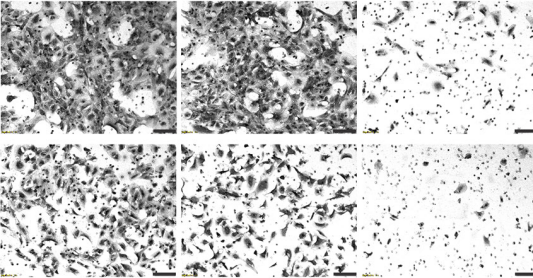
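The many small, evenly scattered dark dots in the background are the pores of the membrane. Cell density differs widely between the fields, from a near-continuous sheet to only a few scattered cells.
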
